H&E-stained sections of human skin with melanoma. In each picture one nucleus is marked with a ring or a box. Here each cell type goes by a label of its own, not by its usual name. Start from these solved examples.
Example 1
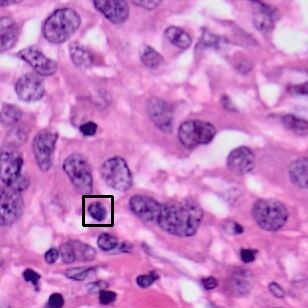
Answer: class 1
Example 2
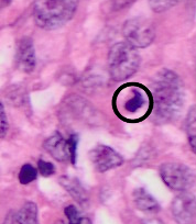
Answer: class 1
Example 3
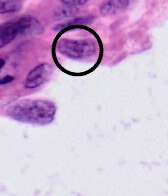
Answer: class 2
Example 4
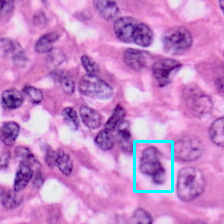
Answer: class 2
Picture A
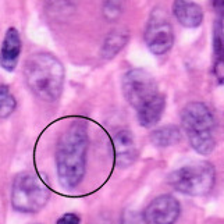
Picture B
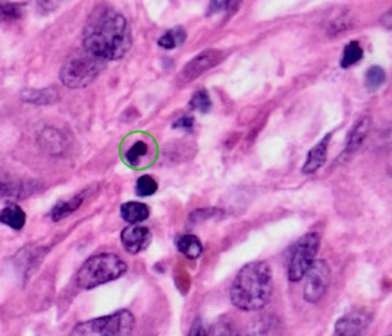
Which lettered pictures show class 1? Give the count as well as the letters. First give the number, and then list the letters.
Count: 1 (B)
